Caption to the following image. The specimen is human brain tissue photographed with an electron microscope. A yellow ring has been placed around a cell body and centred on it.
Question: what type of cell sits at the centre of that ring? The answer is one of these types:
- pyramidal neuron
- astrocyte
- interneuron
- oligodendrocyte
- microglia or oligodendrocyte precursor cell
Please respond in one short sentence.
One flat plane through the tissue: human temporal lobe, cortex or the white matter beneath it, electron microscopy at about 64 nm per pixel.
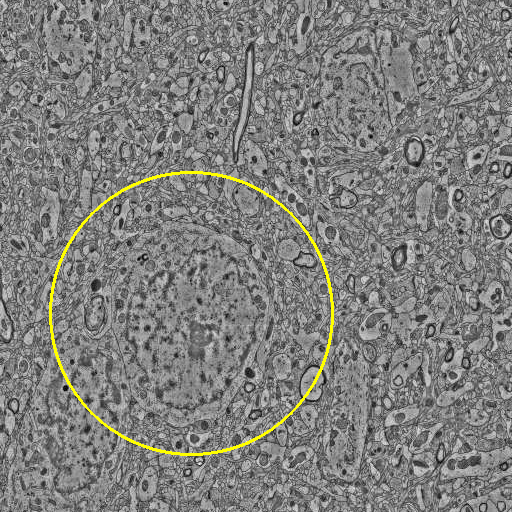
The ring surrounds the cell body of an interneuron.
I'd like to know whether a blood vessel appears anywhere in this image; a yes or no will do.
No, there is no blood vessel.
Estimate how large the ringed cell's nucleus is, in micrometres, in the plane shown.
In this plane, roughly 11 by 8 micrometres.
